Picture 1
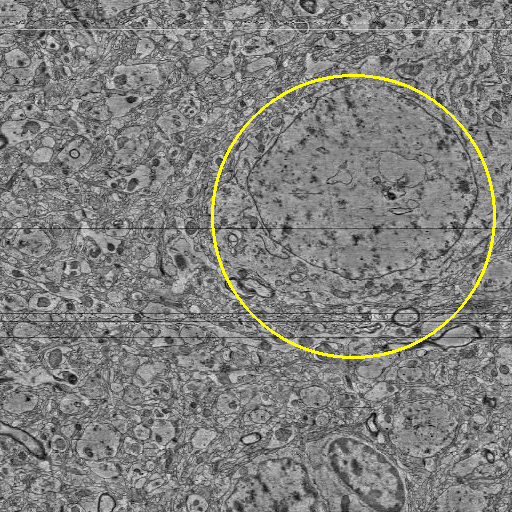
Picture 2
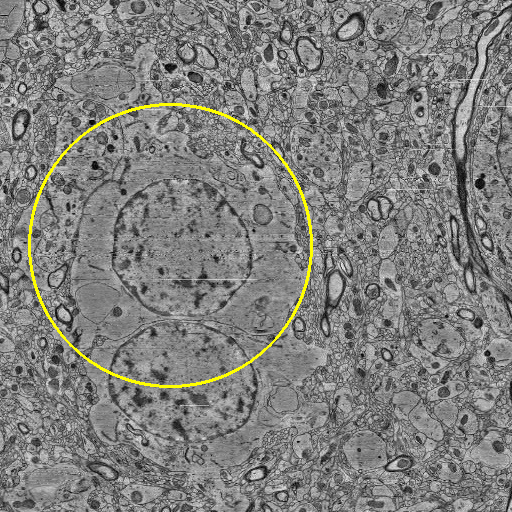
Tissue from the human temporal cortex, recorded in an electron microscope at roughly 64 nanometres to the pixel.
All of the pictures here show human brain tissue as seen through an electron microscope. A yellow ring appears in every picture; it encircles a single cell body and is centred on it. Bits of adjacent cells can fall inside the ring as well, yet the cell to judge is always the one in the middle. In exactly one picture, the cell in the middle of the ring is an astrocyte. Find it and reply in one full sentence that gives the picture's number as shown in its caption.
Of all the pictures, picture 2 has the right cell at the centre of its ring.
